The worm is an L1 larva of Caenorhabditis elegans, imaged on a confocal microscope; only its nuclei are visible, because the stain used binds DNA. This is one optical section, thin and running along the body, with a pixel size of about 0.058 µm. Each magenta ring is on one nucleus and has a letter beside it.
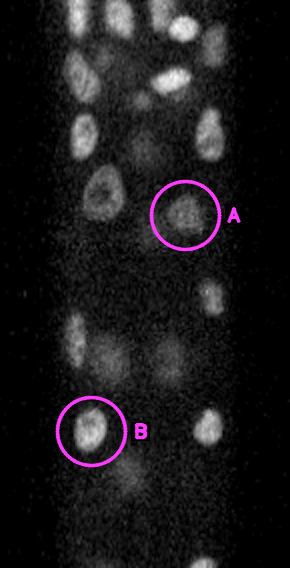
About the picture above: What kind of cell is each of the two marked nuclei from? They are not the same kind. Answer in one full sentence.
Nucleus A comes from an intestinal cell and nucleus B from a body wall muscle cell.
